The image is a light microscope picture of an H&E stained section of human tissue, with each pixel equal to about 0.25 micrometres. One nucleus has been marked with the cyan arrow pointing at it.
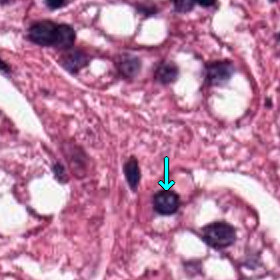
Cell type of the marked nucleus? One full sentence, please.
It is an adrenal cortical cell that the marked nucleus belongs to.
